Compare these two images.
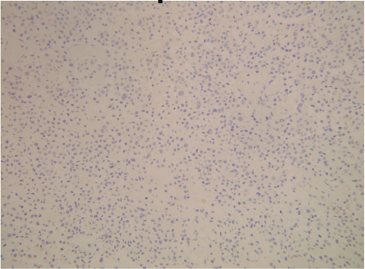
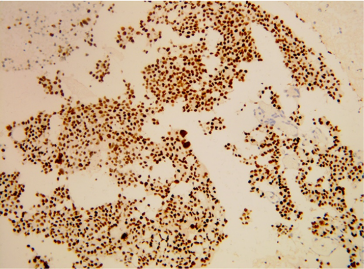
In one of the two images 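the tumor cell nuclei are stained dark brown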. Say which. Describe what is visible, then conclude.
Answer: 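First image: cells show only pale blue nuclei with no brown stain. Second image: nearly every tumor cell nucleus is dark brown. The answer: the second image.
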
